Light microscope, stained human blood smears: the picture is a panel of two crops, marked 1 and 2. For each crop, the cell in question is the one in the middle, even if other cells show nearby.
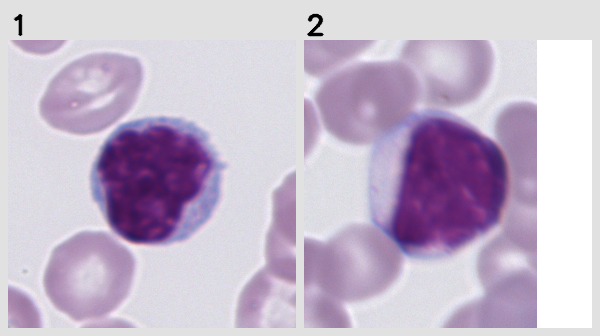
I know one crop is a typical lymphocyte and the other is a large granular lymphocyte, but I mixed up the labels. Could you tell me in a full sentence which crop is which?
Among the crops, crop 1 is a typical lymphocyte and crop 2 is a large granular lymphocyte.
